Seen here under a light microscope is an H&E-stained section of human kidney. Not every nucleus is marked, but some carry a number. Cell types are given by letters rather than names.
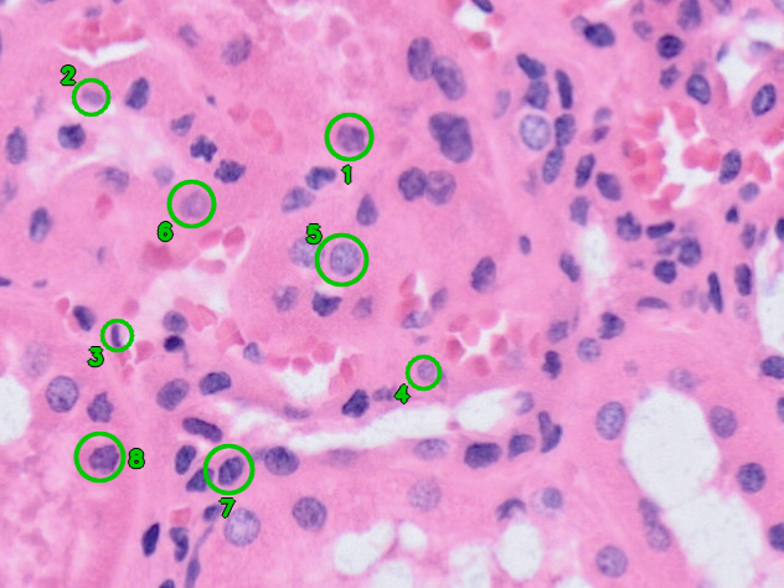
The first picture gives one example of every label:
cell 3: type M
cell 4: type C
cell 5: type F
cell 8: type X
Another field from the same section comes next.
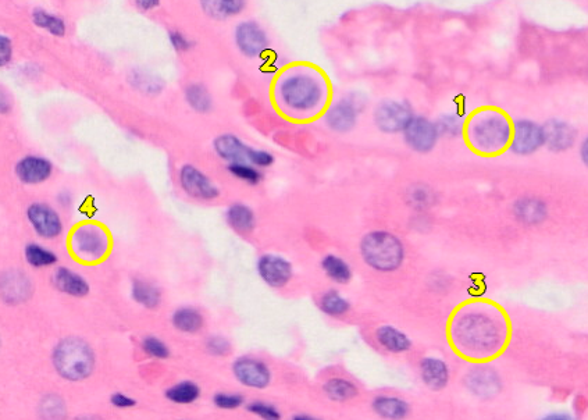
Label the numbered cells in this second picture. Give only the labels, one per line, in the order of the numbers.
type C
type C
type X
type F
